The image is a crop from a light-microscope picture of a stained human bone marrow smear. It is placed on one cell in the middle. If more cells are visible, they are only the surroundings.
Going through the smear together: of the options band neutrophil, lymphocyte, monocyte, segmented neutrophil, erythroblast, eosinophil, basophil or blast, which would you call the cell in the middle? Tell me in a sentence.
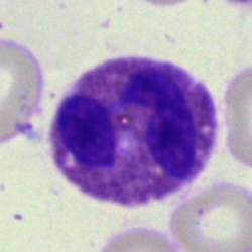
In the central position of this crop, the cell is an eosinophil.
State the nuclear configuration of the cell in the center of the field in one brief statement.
Kindly observe that the nucleus forms two or more lobes.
